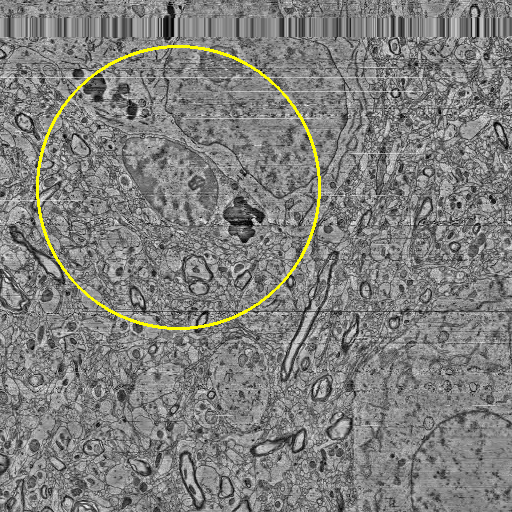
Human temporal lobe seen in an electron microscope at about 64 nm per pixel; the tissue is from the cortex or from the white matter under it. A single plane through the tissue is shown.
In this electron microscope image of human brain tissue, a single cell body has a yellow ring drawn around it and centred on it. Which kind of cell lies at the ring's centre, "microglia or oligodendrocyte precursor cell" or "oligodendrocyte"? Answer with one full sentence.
It is an oligodendrocyte whose cell body lies at the centre of the yellow ring here.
